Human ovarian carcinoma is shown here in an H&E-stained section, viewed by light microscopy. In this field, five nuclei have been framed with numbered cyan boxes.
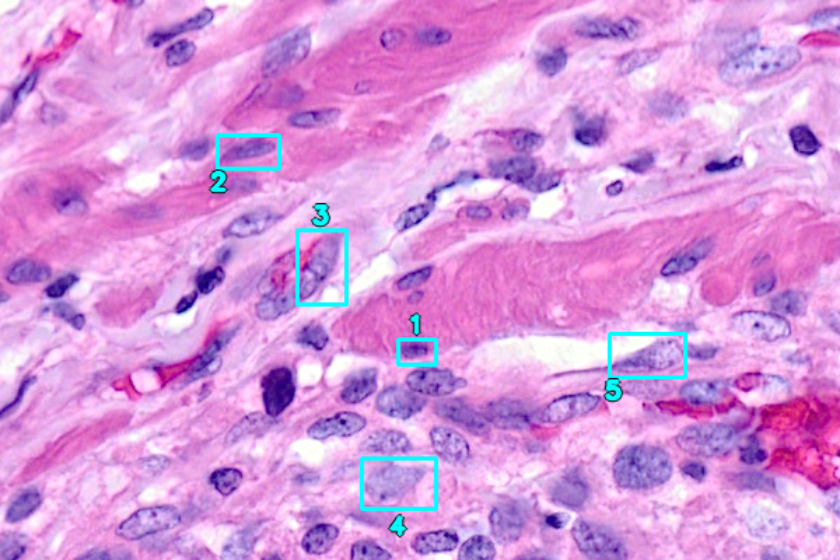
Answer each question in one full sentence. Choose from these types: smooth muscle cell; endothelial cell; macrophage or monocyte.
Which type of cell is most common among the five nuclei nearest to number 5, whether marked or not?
The majority of the five nuclei closest to number 5 belong to endothelial cells.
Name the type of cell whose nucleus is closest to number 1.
Closest to number 1 lies the nucleus of a macrophage or monocyte.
